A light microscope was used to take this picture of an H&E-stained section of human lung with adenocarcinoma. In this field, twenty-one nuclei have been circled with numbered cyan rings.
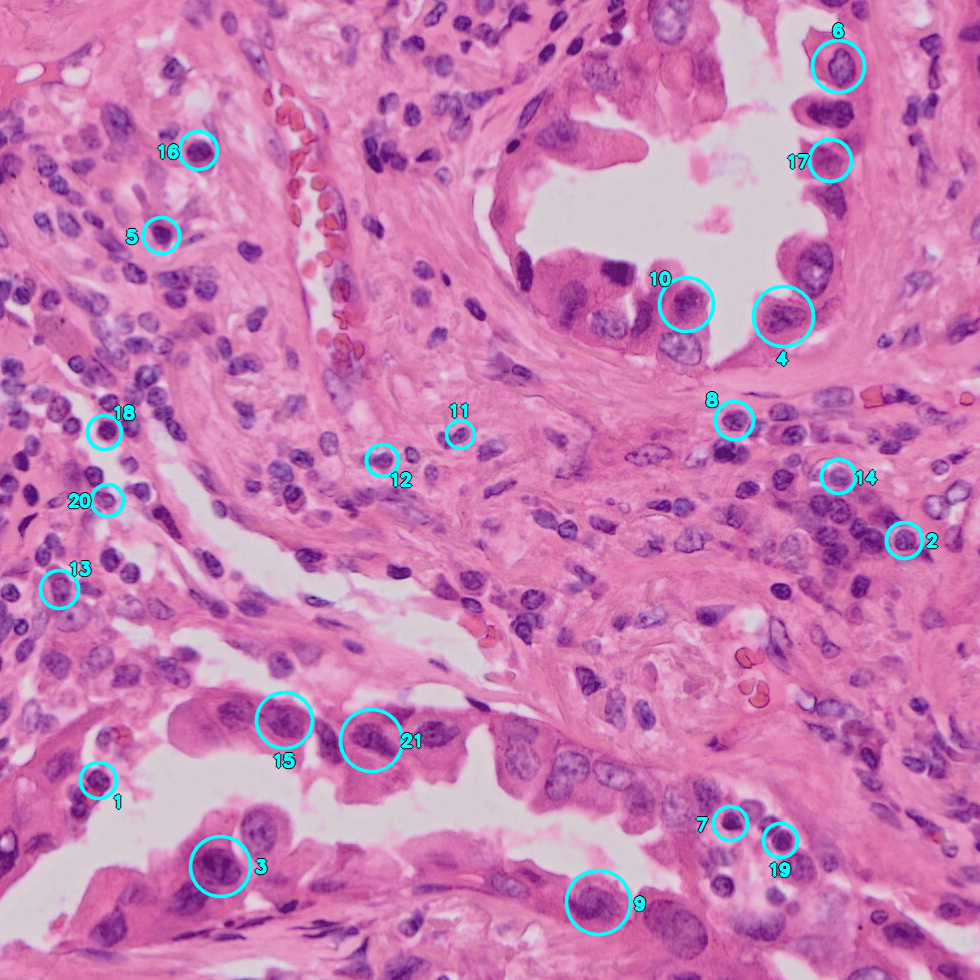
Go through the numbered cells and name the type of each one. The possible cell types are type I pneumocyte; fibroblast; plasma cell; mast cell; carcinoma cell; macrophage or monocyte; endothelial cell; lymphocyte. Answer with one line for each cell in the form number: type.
1: lymphocyte
2: lymphocyte
3: carcinoma cell
4: carcinoma cell
5: plasma cell
6: carcinoma cell
7: lymphocyte
8: lymphocyte
9: carcinoma cell
10: carcinoma cell
11: lymphocyte
12: lymphocyte
13: plasma cell
14: lymphocyte
15: carcinoma cell
16: plasma cell
17: carcinoma cell
18: lymphocyte
19: lymphocyte
20: lymphocyte
21: carcinoma cell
